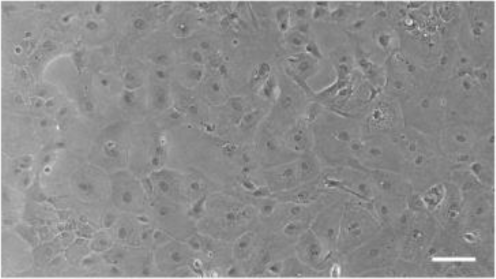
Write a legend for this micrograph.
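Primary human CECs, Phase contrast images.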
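Cell size varies greatly, and several cells are elongated or spindle-shaped with pointed ends. The nuclei are scattered far apart within broad pale cytoplasm, and cell borders are faint and uneven.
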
